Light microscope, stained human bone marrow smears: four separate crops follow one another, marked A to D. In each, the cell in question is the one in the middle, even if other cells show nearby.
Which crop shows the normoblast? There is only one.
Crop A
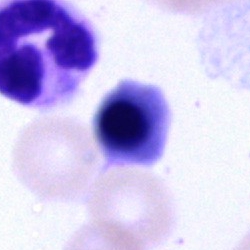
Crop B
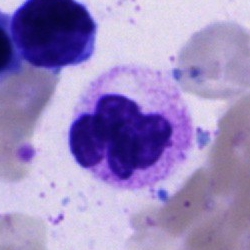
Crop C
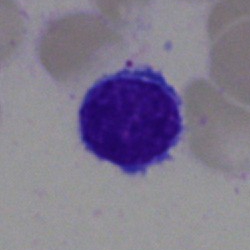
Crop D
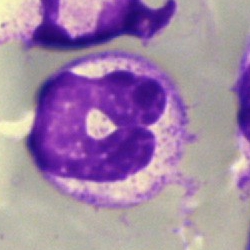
A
